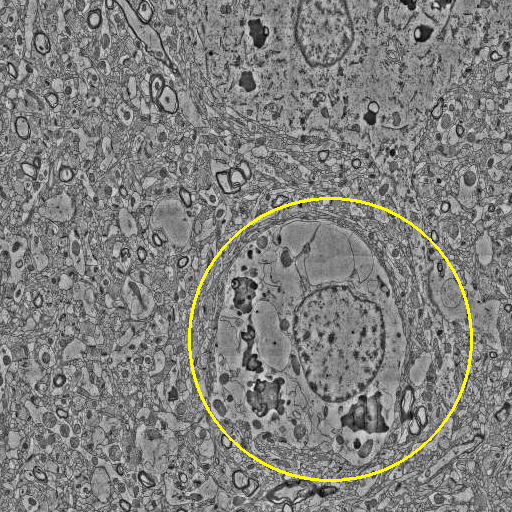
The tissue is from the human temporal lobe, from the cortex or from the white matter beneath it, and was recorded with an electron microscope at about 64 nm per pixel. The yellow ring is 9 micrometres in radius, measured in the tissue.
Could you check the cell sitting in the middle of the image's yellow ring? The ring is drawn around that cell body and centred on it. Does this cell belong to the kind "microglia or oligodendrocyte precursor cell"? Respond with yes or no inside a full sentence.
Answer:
No, this cell in the middle of the yellow ring is one of a different kind.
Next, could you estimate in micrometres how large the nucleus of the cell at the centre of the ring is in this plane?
The nucleus of the ringed cell is approximately 7 by 6 micrometres in this plane.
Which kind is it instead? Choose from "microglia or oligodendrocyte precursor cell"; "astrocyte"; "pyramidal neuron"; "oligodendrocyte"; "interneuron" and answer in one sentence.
As it turns out, the cell at the ring centre is an astrocyte.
